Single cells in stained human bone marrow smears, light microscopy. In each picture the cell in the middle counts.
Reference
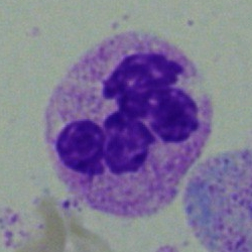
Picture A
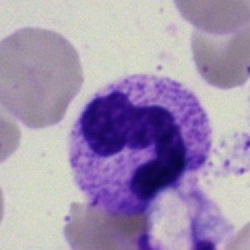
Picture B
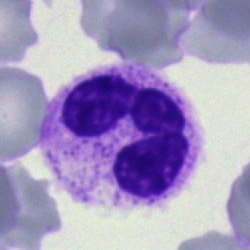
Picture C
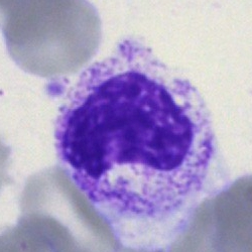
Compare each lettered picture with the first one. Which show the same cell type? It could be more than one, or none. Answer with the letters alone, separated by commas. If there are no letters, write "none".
A, B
